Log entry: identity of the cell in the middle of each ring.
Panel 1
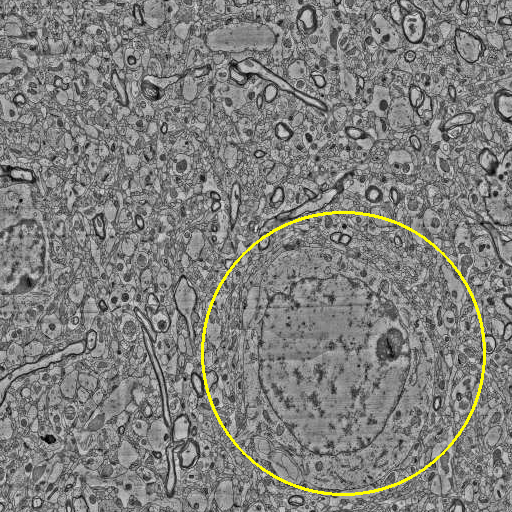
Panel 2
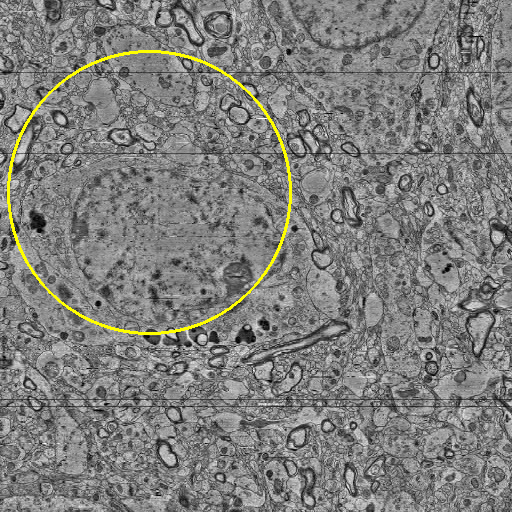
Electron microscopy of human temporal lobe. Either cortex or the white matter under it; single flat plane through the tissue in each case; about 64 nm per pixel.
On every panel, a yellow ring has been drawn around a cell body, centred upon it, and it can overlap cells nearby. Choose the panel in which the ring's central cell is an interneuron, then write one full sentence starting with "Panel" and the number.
Panel 2 shows the requested cell sitting in the middle of its ring.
